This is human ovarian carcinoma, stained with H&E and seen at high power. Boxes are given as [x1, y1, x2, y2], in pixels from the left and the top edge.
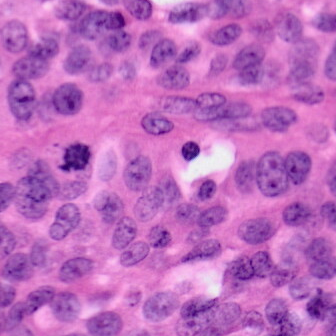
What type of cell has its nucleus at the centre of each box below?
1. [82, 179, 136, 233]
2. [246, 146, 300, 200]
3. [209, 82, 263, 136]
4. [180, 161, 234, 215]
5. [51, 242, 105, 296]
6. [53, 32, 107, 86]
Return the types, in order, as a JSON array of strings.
["carcinoma cell", "carcinoma cell", "endothelial cell", "macrophage or monocyte", "carcinoma cell", "carcinoma cell"]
